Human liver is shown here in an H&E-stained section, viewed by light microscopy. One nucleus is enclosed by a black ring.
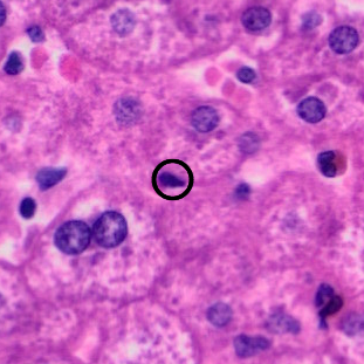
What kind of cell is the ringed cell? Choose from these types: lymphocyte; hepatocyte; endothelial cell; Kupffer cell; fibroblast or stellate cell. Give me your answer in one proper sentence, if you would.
Cytologically, the ringed cell is to be regarded as a fibroblast or stellate cell.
